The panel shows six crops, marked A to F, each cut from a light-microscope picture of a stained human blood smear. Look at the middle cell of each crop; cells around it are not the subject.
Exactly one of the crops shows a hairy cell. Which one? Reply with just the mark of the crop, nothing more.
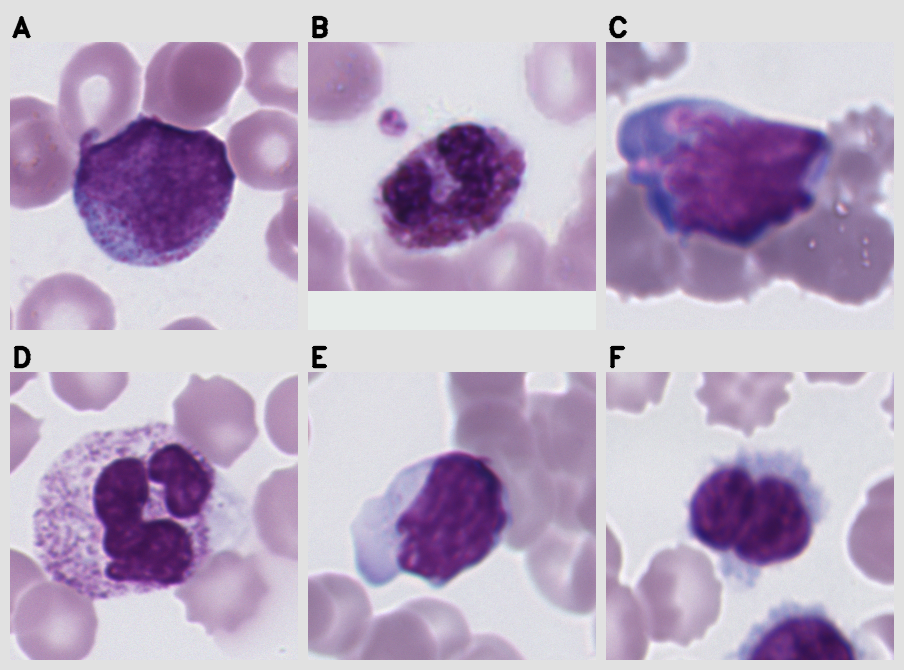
F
